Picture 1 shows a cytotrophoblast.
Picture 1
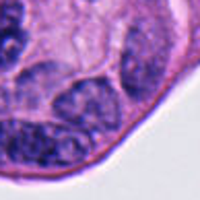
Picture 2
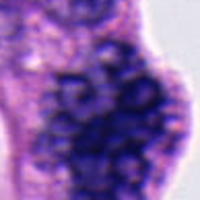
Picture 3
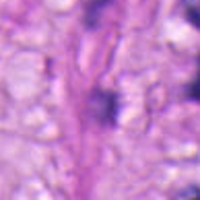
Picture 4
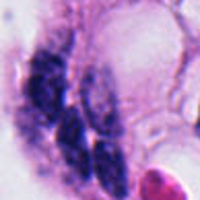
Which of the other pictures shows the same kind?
Picture 4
